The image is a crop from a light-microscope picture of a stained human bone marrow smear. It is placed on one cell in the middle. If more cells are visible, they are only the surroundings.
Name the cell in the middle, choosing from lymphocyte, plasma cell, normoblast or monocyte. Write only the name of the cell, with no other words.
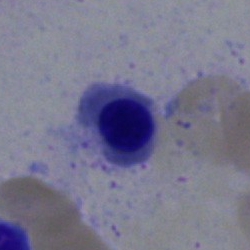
normoblast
